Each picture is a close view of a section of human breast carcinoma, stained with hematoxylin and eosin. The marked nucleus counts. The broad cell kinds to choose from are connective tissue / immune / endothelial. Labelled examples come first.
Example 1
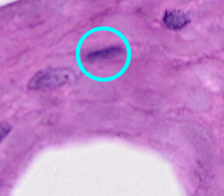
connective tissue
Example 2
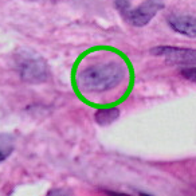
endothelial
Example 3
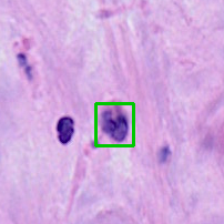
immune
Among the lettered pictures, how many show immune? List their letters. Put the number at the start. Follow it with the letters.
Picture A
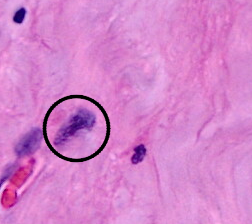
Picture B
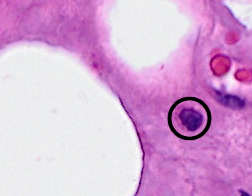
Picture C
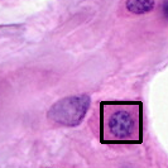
2, namely B, C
